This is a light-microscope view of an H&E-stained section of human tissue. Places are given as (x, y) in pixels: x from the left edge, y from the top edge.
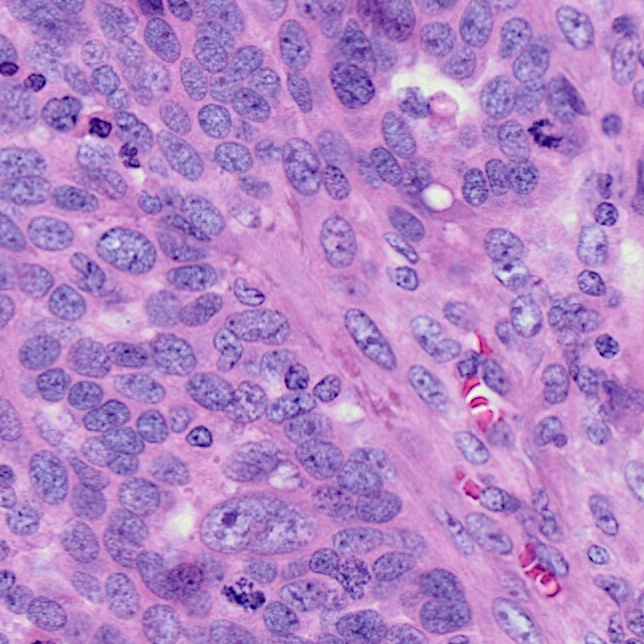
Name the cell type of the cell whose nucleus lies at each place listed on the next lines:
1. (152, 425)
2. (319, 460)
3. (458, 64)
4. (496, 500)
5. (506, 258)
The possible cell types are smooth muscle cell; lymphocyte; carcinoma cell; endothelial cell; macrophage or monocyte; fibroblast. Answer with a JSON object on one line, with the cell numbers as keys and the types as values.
{"1": "carcinoma cell", "2": "carcinoma cell", "3": "carcinoma cell", "4": "endothelial cell", "5": "fibroblast"}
